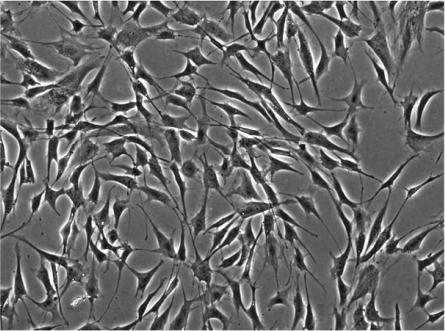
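This is a subconfluent culture of adherent cells seen in phase contrast, many of them small-bodied and stellate or spindle-shaped with long thin processes. Some cells are broader and flatter, with clear gaps of empty dish between neighbouring cells. The cell bodies appear brighter and more refractile at their edges than those of flattened cells, and the thin processes reach out to touch neighbouring cells.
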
